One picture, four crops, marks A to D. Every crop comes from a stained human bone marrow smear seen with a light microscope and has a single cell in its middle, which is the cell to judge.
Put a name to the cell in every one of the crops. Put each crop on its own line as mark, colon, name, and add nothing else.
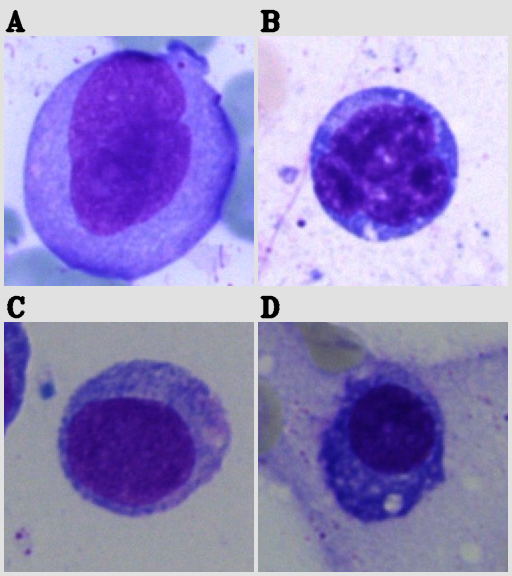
A: blast
B: blast
C: blast
D: plasma cell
